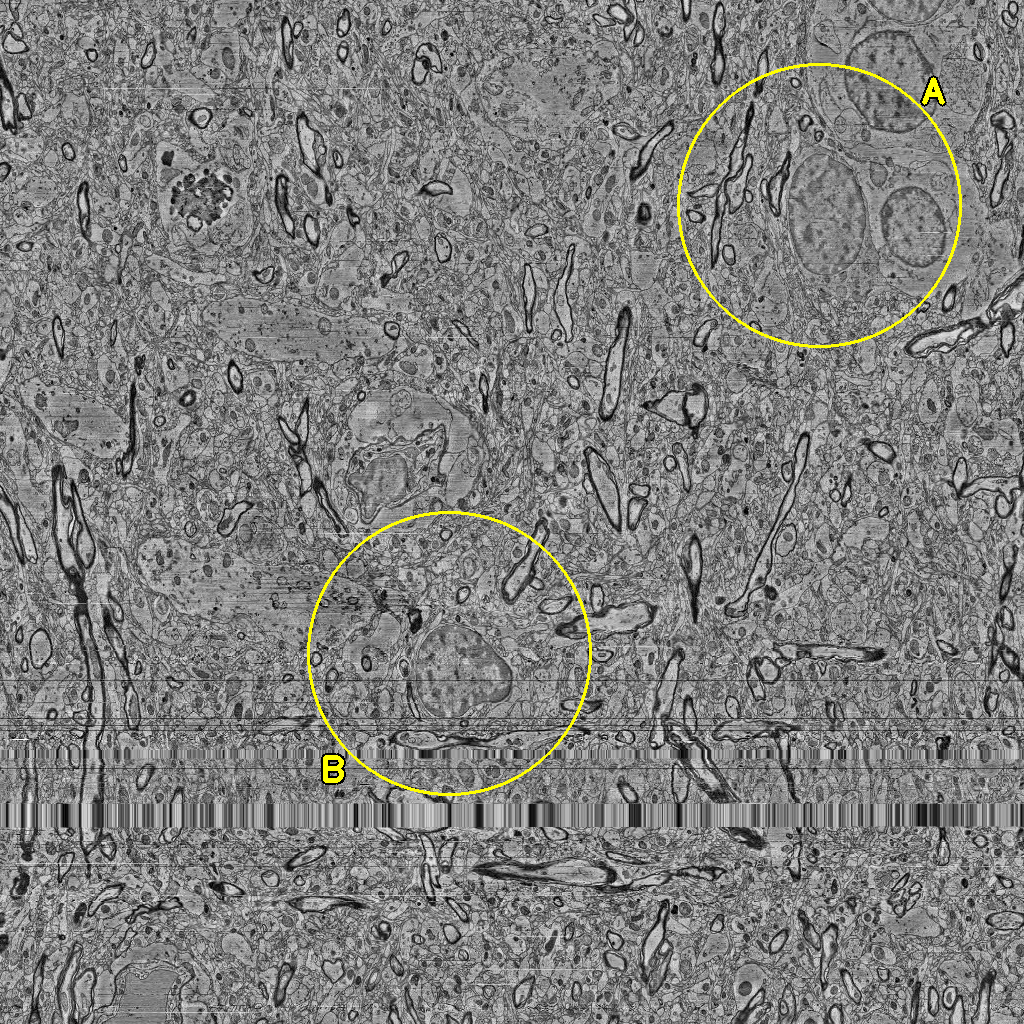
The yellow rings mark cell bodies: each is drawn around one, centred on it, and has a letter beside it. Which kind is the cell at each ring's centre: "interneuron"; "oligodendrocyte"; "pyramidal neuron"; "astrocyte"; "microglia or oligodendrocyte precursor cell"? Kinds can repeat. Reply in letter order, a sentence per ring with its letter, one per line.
At the centre of ring A lies an oligodendrocyte.
At the centre of ring B lies a microglial cell or oligodendrocyte precursor cell.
